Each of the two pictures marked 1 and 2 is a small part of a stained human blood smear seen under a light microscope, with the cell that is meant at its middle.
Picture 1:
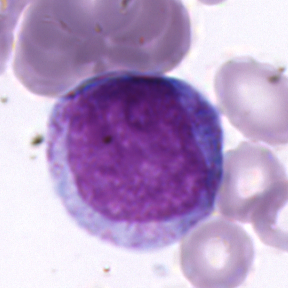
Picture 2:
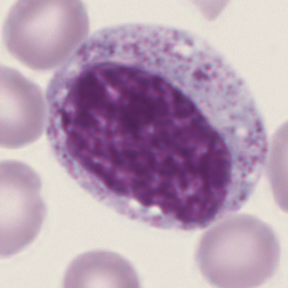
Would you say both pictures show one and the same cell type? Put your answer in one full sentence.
Yes, both are promyelocytes.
